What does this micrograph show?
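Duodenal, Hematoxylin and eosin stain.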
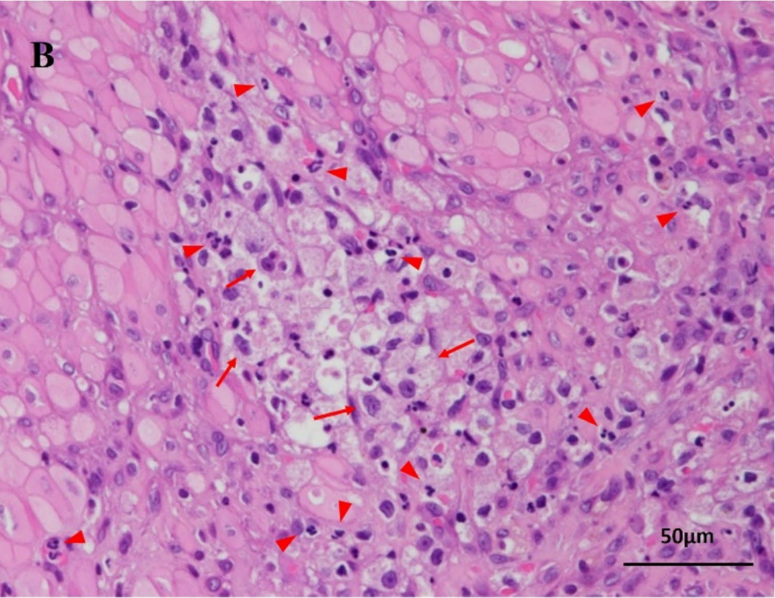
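This is an inflamed part of the muscular wall of the gut, where pink smooth muscle cells lie beside a dense mixture of inflammatory cells. At the upper left the muscle cells are cut across and appear as rounded pink profiles, many with pale or clear spaces. In the middle lies a cluster of large macrophages with abundant pale, foamy, vacuolated cytoplasm, some holding small dark nuclear fragments of engulfed cells. Scattered all around are neutrophils, small cells recognisable by their dark purple nuclei split into several lobes. Small dark fragments of debris lie among the cells in the centre of the lesion.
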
